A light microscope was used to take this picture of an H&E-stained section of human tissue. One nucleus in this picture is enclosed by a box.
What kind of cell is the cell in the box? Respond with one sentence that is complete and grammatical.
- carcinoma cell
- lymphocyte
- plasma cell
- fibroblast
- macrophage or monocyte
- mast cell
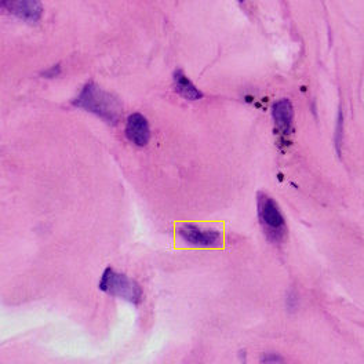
Recorded by type, the cell in the box is a fibroblast.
